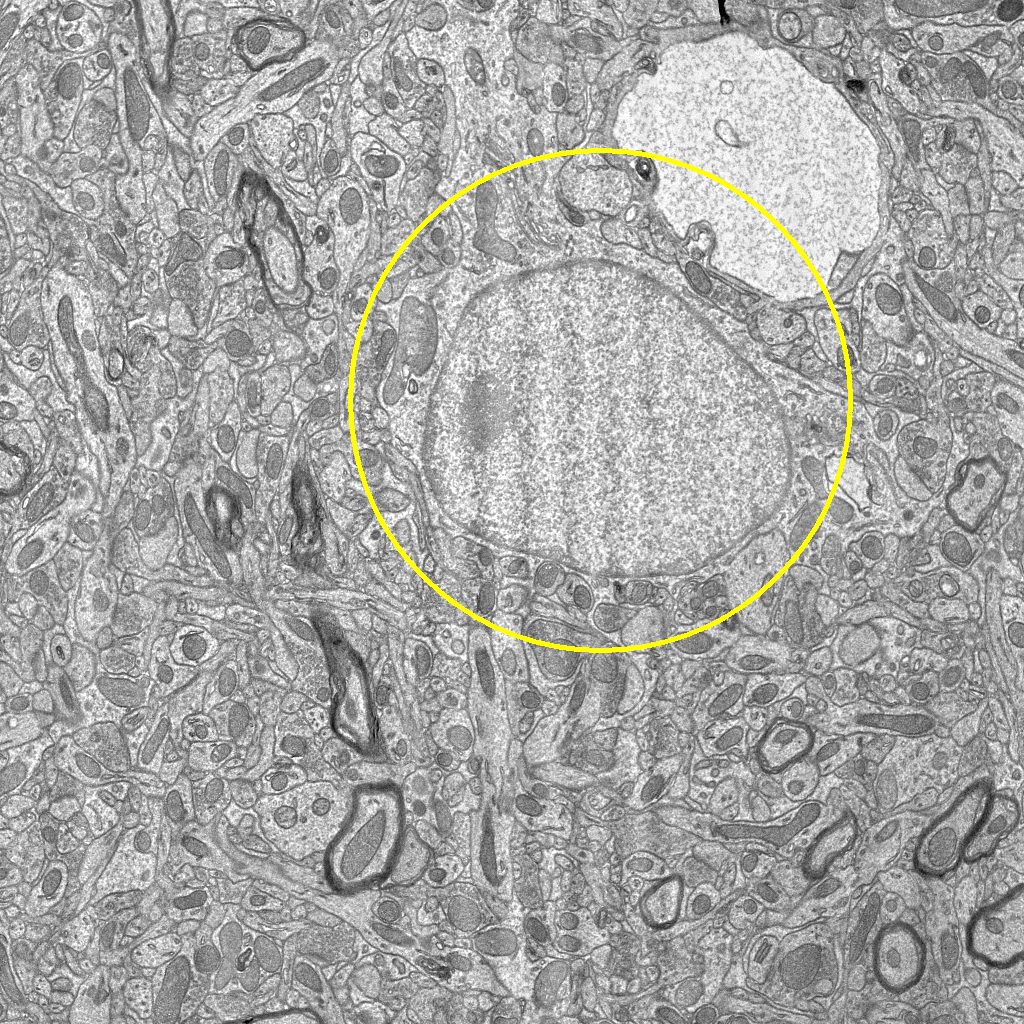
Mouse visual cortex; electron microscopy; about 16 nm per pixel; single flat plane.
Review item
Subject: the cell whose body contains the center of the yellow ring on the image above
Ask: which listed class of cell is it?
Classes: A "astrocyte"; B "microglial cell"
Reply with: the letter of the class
A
